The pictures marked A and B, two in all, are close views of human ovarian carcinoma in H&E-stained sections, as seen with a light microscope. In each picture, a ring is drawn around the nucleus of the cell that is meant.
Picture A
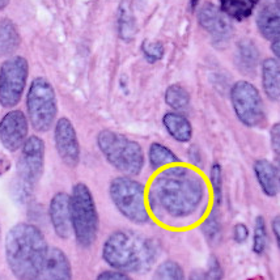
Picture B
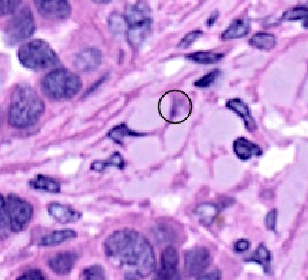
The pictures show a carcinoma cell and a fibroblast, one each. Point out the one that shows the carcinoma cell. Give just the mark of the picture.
A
